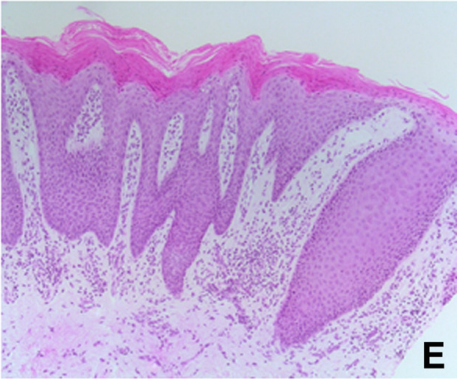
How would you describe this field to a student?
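This is a section of skin with epidermis above and superficial dermis below, stained pink and purple. The epidermis sends long, slender and partly fused downgrowths deep into the dermis, much longer than normal rete ridges. A compact, wavy pink horny layer covers the surface. Between the downgrowths the dermal papillae are narrow and contain many small dark round nuclei of infiltrating cells. The lower dermis at the bottom is paler and less cellular.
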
